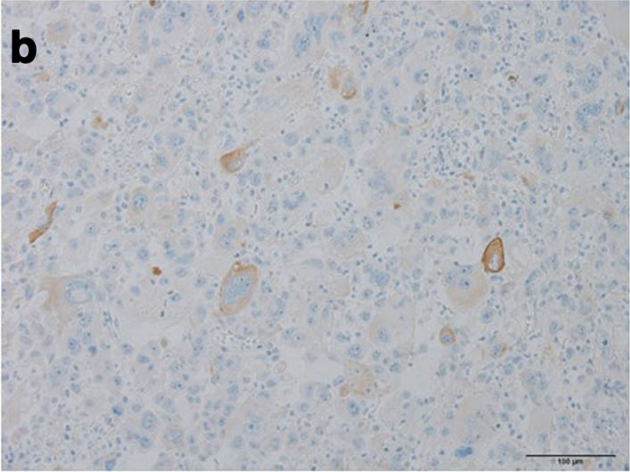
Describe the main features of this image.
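Most tumor cells are unstained, showing pale cytoplasm and blue counterstained nuclei. The cells lie loosely apart, with large and irregular nuclei among smaller round nuclei.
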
